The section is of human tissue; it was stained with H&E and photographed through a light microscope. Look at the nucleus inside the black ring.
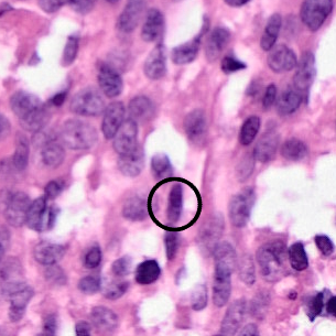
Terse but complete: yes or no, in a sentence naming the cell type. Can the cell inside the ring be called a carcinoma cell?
Yes, put very simply, the cell inside the ring is a carcinoma cell.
